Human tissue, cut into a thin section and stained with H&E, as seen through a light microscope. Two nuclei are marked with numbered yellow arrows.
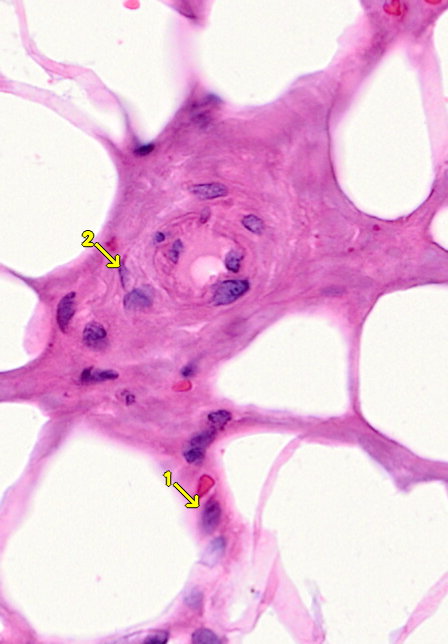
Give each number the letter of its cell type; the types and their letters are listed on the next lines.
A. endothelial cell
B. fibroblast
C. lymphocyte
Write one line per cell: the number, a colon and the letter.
1: A
2: B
